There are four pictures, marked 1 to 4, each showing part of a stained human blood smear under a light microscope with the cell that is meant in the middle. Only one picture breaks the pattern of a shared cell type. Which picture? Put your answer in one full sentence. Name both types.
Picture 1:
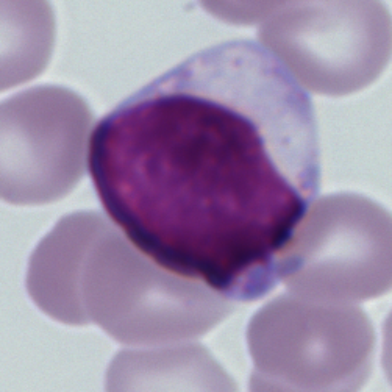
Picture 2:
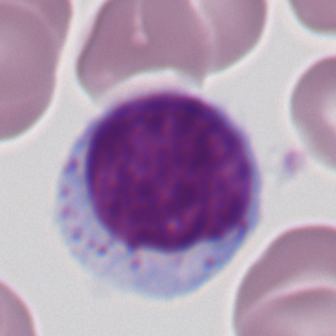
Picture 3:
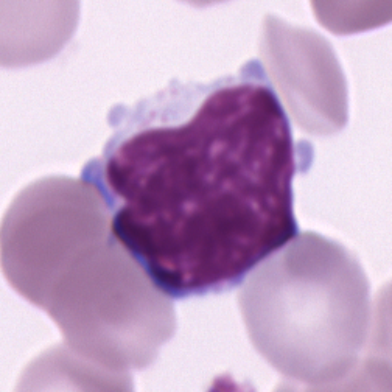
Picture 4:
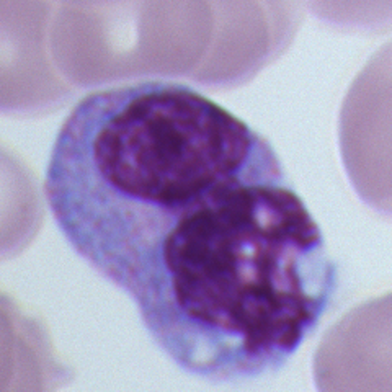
All pictures except 4 show large granular lymphocytes; picture 4 shows a monocyte.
